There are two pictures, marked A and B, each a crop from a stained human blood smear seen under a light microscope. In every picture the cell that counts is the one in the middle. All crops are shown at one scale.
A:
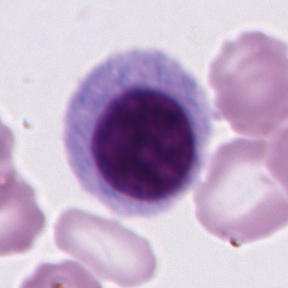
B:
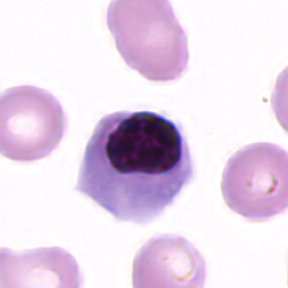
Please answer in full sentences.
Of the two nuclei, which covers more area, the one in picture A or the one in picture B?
It is the nucleus in picture A, about 2.5 times as large in area as the one in picture B.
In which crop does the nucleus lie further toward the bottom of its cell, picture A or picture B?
In picture A the nucleus is shifted more toward the bottom.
